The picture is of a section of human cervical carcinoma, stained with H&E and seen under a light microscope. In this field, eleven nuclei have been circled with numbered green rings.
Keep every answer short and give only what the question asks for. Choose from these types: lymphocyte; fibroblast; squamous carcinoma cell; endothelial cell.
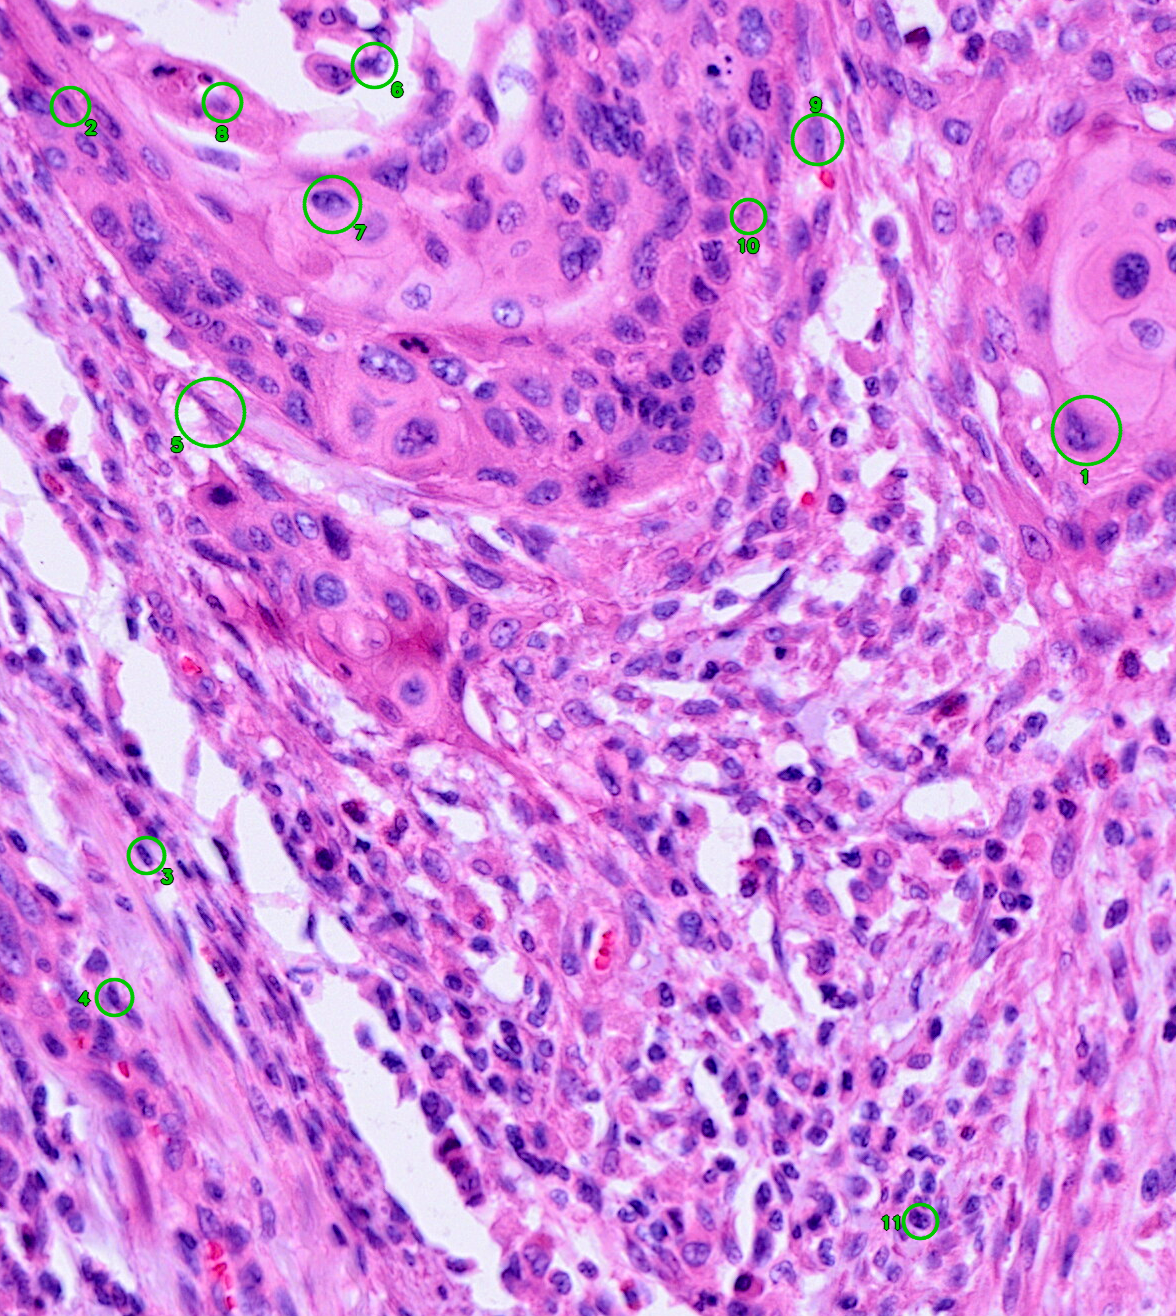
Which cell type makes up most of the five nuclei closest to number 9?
fibroblast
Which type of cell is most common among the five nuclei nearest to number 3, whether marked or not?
lymphocyte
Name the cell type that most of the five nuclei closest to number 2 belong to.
squamous carcinoma cell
